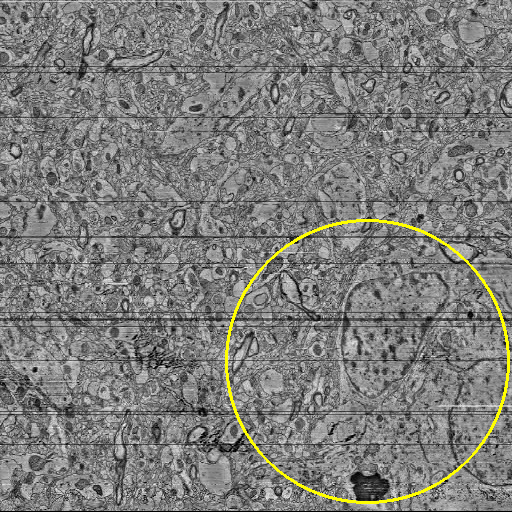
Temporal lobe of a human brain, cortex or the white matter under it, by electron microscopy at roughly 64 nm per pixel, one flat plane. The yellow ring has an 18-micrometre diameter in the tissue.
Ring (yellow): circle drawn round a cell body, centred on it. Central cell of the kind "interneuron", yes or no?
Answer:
no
